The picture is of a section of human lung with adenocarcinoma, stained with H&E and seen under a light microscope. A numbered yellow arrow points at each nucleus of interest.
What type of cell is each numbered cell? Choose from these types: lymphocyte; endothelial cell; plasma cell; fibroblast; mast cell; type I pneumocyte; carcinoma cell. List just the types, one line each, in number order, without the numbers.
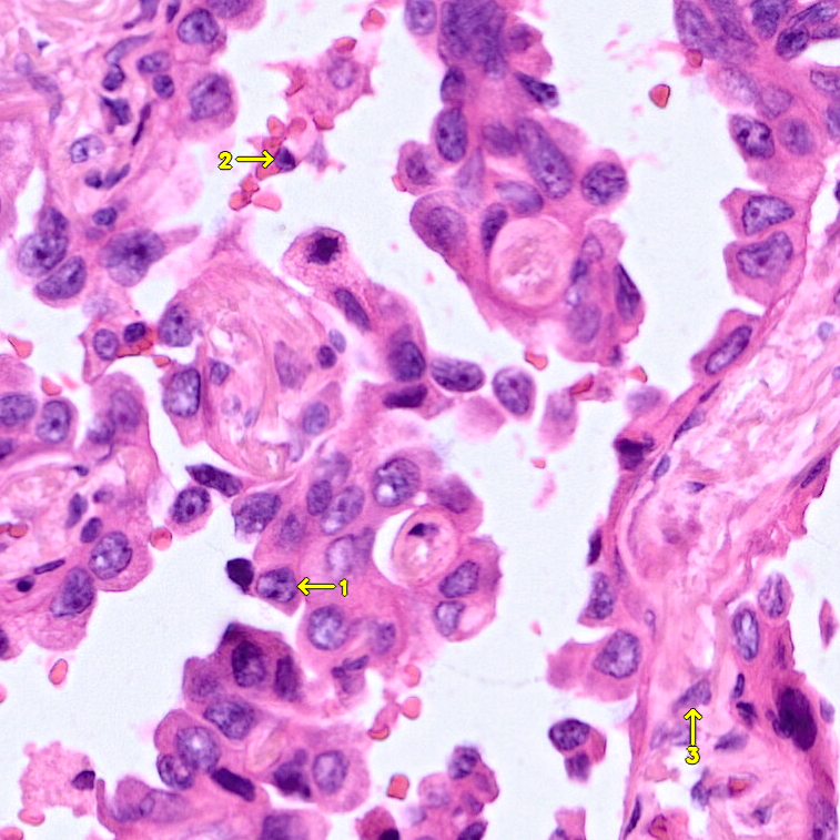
carcinoma cell
lymphocyte
fibroblast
